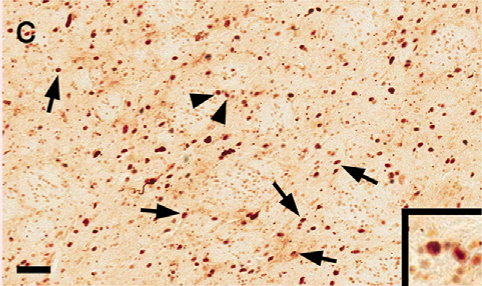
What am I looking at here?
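Many small, dark red-brown round bodies are distributed throughout the field. The background is a mottled pale brown with a fibrous, somewhat patchy texture and a few thin strands crossing it. An enlarged view shows stained cells with darker compact bodies within them. The deposits are widespread and not confined to any one region of the field.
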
